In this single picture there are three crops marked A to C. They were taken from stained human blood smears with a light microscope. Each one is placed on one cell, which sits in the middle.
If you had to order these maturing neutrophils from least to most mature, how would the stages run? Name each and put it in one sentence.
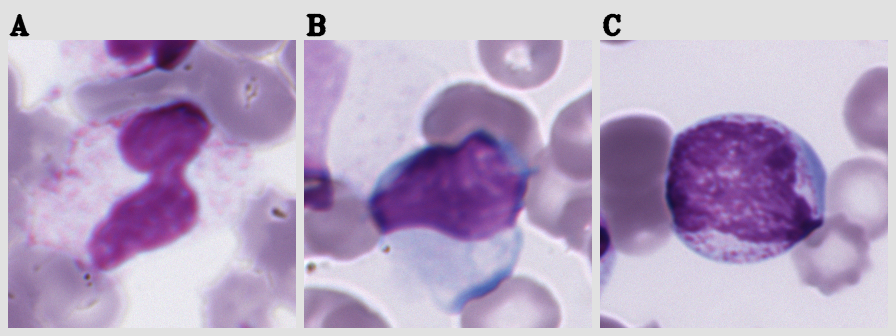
Least mature first and most mature last, the sequence is crop B (a myeloblast), crop C (a myelocyte) and crop A (a segmented neutrophil).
